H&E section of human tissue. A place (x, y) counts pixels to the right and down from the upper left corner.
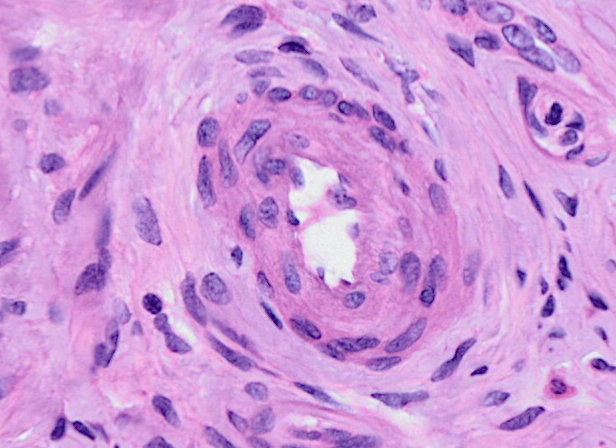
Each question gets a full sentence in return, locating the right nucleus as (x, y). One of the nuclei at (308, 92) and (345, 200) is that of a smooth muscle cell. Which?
The nucleus that belongs to a smooth muscle cell is located at (308, 92).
